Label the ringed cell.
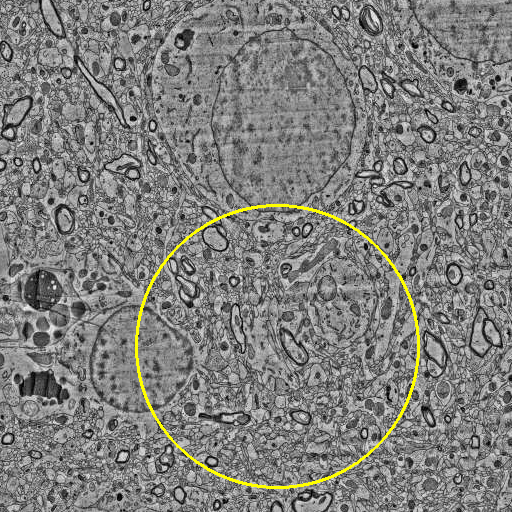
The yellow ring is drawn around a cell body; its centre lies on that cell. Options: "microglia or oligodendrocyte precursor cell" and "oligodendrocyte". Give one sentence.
The ringed cell is an oligodendrocyte.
